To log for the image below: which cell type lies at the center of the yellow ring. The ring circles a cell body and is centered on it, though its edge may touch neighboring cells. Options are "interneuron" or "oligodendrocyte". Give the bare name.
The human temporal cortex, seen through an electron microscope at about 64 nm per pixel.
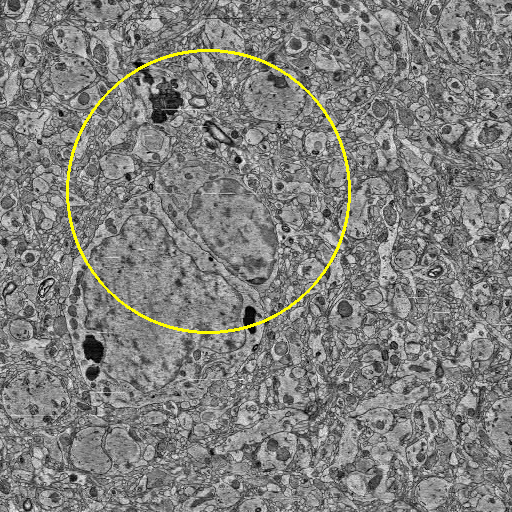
oligodendrocyte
